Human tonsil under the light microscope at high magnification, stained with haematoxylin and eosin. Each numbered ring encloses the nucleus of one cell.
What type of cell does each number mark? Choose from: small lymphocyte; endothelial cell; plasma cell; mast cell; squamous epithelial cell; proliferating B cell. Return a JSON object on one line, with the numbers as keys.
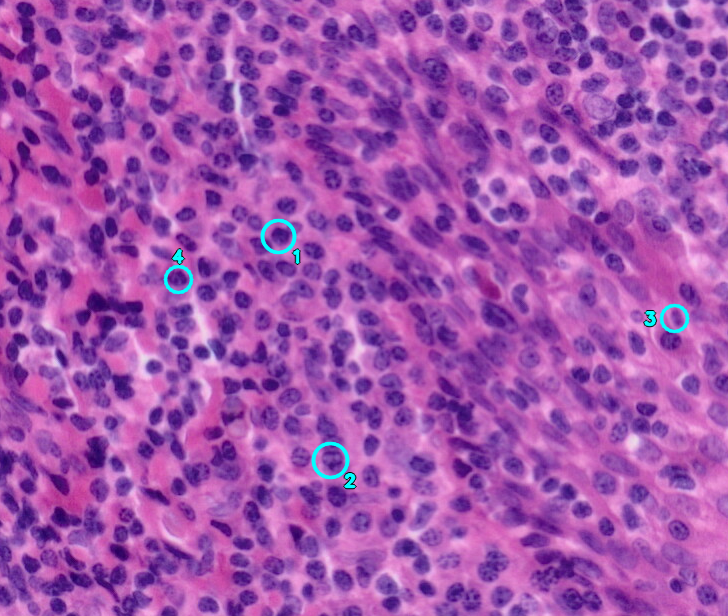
{"1": "plasma cell", "2": "plasma cell", "3": "squamous epithelial cell", "4": "plasma cell"}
